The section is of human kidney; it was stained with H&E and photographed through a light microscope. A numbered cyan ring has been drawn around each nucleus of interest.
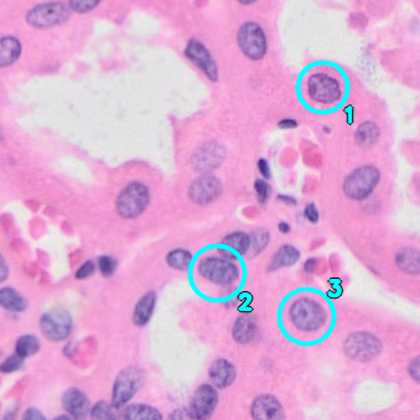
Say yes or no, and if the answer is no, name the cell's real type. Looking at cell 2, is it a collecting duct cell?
Yes.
